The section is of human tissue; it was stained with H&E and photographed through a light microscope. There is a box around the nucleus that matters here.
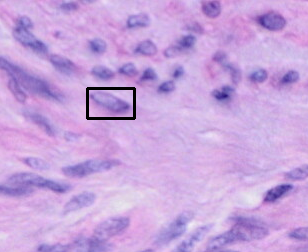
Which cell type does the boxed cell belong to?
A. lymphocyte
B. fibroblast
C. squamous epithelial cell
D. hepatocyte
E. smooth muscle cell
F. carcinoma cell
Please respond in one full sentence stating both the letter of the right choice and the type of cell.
Option E is right, and the boxed cell is a smooth muscle cell.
